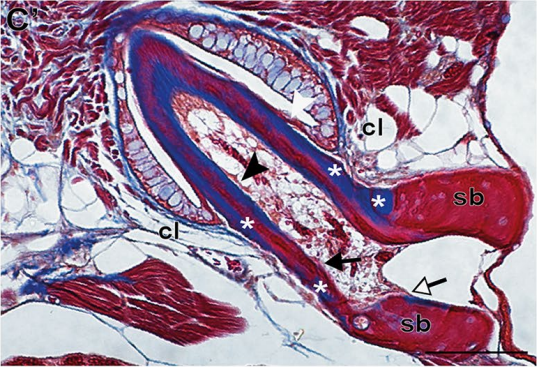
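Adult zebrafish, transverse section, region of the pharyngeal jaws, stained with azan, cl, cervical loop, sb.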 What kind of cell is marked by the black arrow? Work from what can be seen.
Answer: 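The arrow points at cells lining the inner side of the band joining tooth and bone.
Cells forming "bone of attachment".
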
